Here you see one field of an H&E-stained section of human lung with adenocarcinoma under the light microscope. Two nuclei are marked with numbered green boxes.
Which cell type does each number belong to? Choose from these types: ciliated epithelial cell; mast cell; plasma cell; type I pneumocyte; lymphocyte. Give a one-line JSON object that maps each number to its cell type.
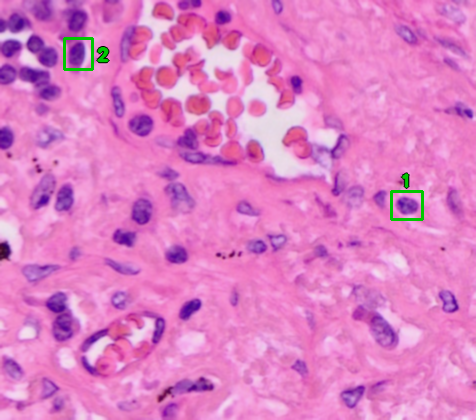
{"1": "lymphocyte", "2": "plasma cell"}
